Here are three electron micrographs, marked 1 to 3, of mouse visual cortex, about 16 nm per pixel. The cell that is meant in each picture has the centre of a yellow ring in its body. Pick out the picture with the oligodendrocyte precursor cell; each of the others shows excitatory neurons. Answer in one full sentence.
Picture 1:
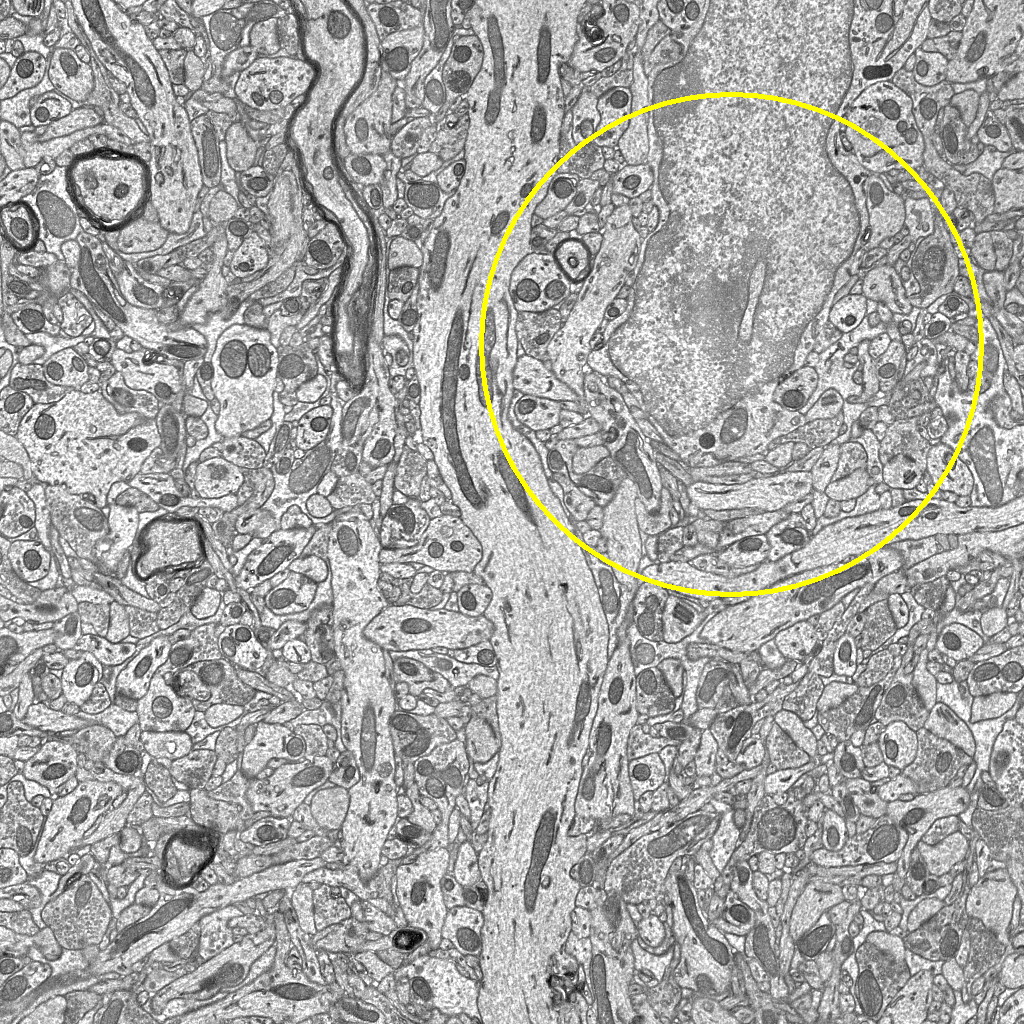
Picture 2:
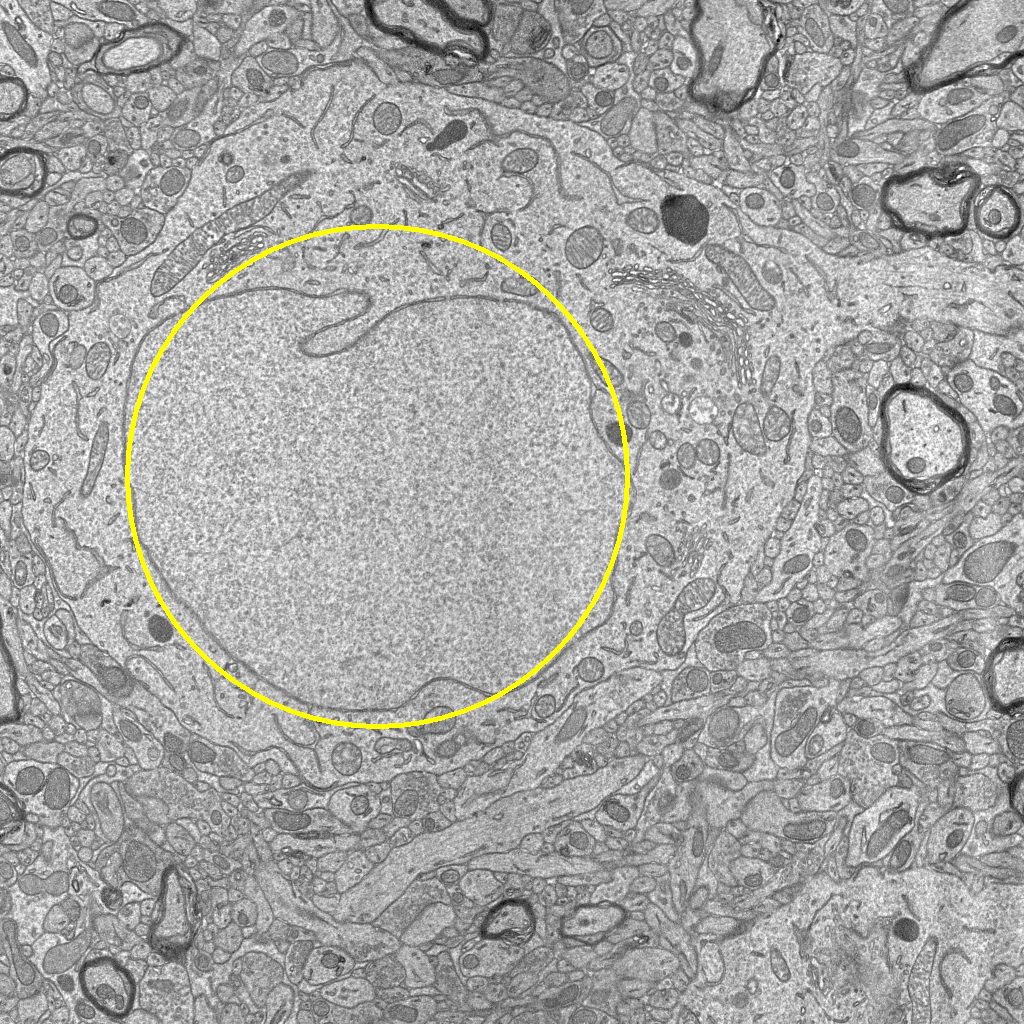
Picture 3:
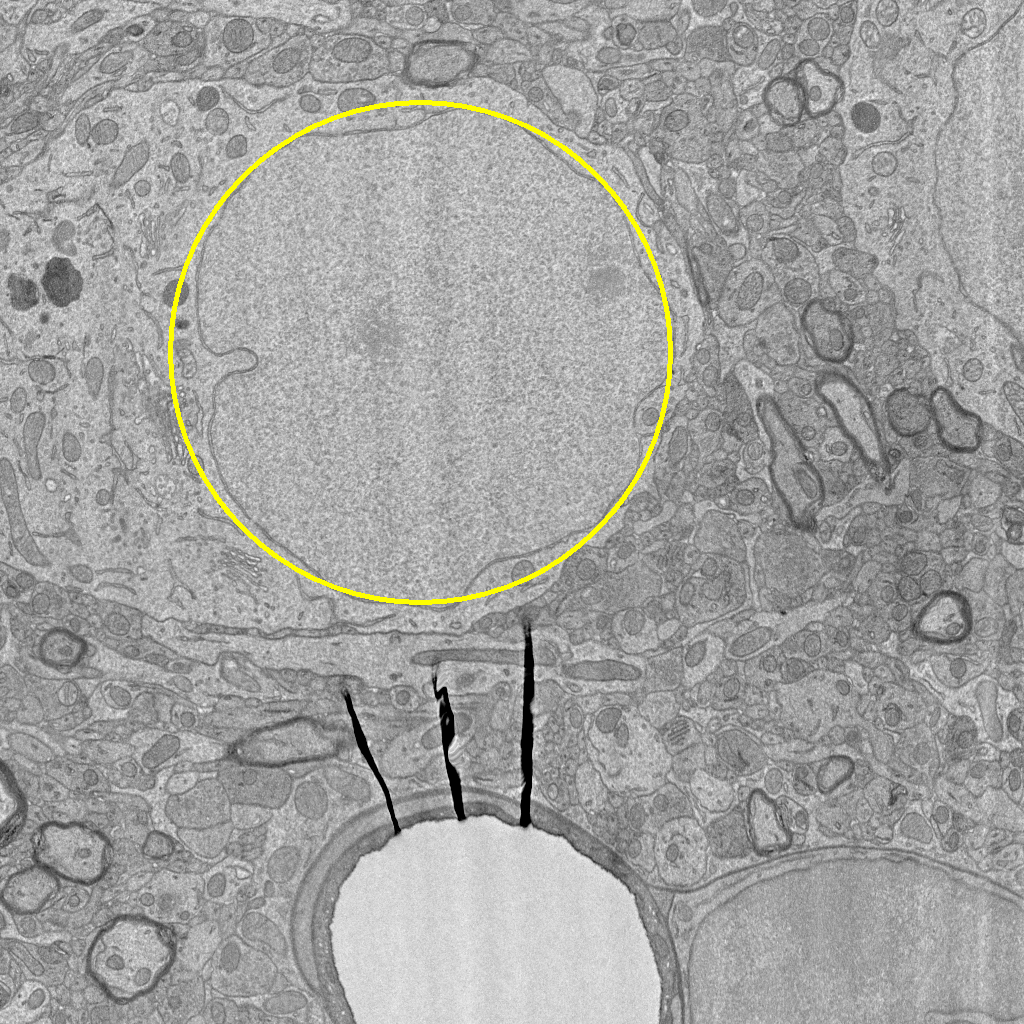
The picture with the oligodendrocyte precursor cell is 1.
